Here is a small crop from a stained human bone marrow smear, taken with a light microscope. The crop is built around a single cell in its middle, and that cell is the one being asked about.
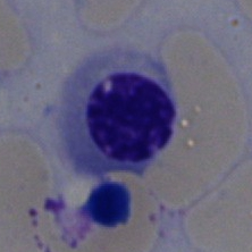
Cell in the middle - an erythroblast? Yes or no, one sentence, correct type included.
Yes, the cell in the central position is an erythroblast.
